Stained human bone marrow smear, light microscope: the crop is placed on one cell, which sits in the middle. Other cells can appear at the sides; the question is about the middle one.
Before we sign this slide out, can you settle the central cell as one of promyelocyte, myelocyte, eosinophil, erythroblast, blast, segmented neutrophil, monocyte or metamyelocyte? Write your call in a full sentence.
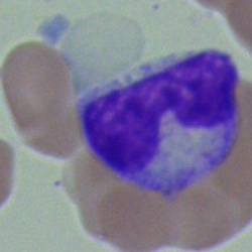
The crop shows a metamyelocyte in its centre.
